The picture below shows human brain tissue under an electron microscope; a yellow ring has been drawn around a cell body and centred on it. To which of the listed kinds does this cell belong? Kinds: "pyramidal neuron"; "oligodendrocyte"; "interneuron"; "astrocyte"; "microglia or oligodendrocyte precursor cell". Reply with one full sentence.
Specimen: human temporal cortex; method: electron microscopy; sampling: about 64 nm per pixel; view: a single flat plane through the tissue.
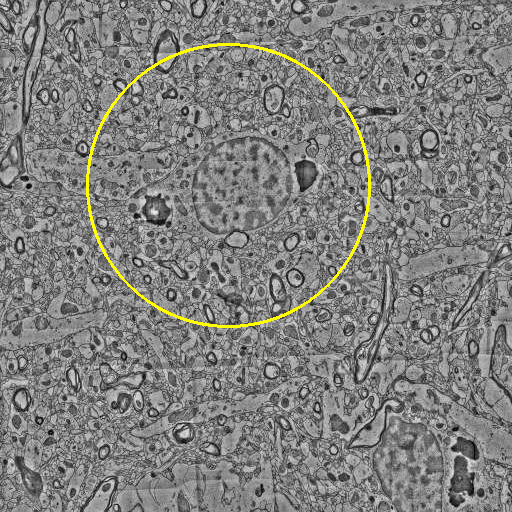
It is an oligodendrocyte that the yellow ring in the picture is centred on.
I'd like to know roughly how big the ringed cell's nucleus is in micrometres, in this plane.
In this plane the nucleus measures roughly 7 by 6 micrometres.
